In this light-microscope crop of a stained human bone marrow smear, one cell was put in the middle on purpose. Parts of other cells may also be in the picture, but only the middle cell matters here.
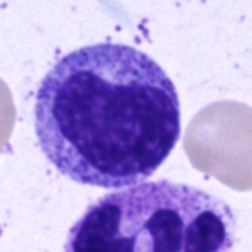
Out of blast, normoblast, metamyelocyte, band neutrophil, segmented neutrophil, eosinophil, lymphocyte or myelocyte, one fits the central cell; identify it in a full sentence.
The cell shown in the center of this light-microscope crop is a myelocyte.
